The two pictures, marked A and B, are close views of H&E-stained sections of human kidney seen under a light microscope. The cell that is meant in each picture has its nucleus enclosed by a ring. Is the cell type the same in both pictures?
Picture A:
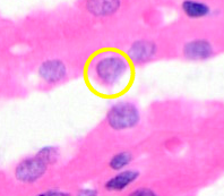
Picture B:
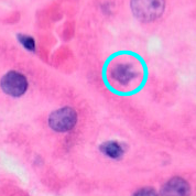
no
